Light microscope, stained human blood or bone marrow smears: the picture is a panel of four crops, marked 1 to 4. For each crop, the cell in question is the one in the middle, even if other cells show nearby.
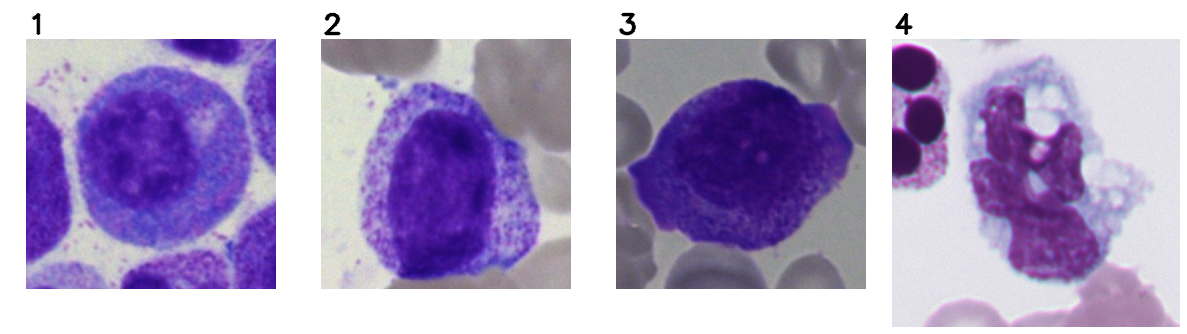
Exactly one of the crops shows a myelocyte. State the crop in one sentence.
The crop with a myelocyte at its center is crop 2.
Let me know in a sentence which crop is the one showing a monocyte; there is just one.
Crop 4 is the single crop that shows a monocyte.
